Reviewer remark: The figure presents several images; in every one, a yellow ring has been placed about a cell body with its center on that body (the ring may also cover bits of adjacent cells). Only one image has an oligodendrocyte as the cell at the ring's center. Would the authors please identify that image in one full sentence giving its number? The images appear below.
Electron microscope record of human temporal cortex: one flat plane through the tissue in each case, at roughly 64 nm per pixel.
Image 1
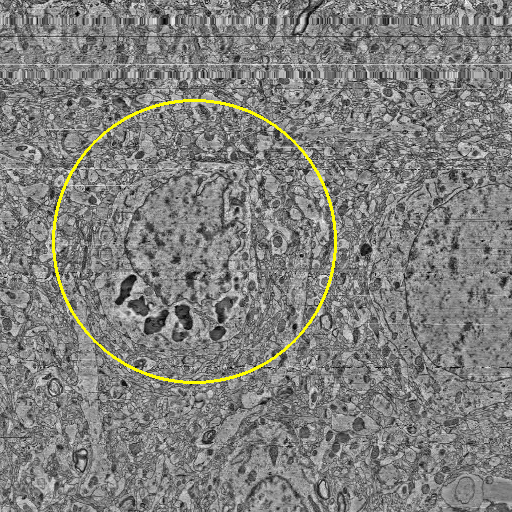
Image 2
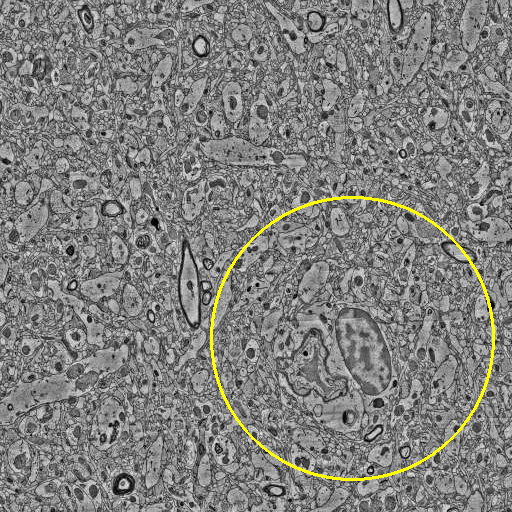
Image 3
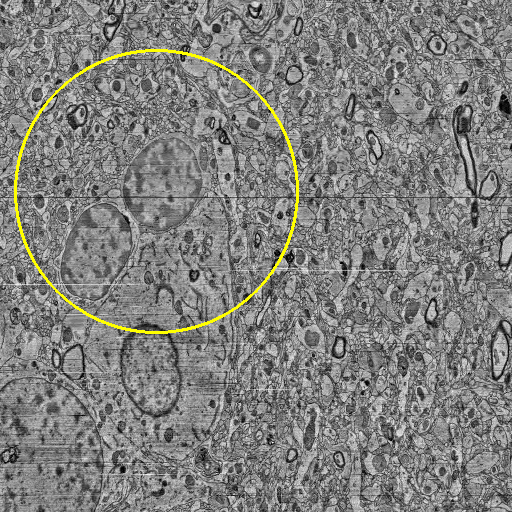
The ring's central cell in image 3 is the one the question describes.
